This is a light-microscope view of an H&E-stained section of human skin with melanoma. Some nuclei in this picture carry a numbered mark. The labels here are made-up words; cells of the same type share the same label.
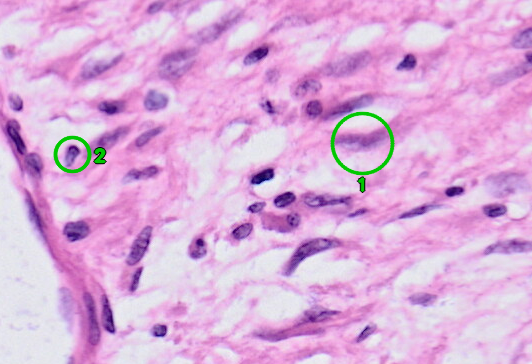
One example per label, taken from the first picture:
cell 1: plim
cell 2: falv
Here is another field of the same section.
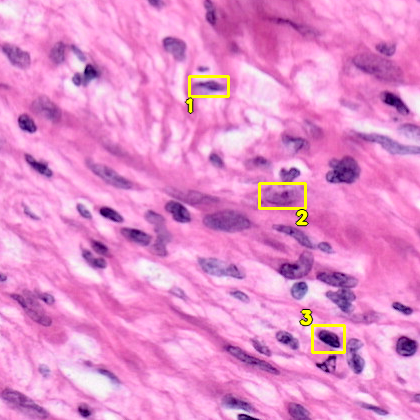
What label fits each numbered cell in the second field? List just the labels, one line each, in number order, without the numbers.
plim
plim
falv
